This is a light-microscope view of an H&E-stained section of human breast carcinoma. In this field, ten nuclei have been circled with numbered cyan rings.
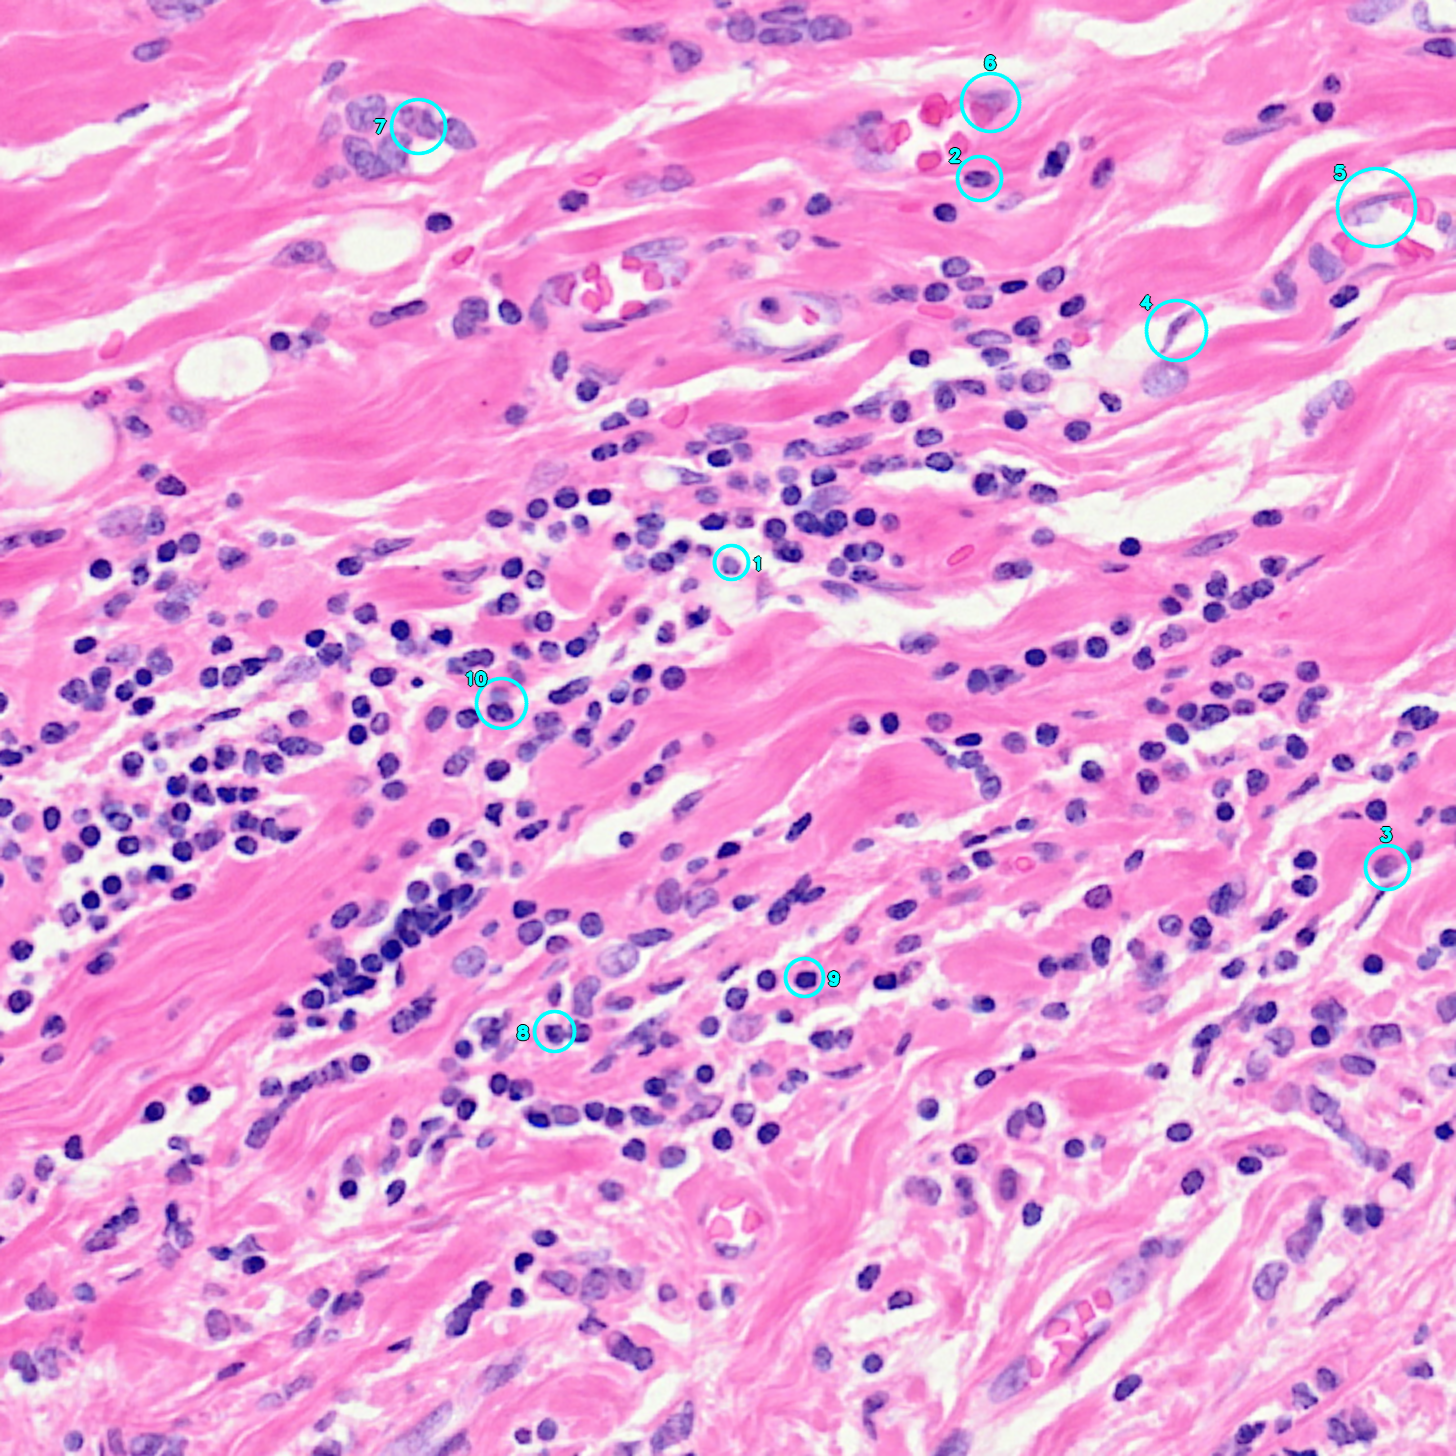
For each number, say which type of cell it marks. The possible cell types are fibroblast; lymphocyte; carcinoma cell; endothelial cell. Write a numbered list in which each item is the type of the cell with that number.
1. lymphocyte
2. lymphocyte
3. lymphocyte
4. fibroblast
5. endothelial cell
6. endothelial cell
7. carcinoma cell
8. lymphocyte
9. lymphocyte
10. lymphocyte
